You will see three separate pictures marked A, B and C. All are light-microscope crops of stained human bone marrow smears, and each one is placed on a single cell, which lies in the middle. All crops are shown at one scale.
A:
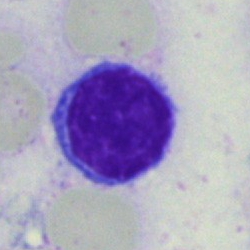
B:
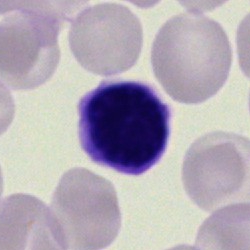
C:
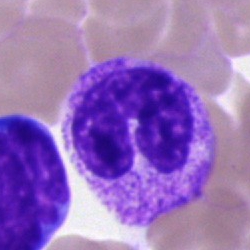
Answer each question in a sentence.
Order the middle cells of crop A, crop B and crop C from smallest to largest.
Going up, they run B, A, C.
